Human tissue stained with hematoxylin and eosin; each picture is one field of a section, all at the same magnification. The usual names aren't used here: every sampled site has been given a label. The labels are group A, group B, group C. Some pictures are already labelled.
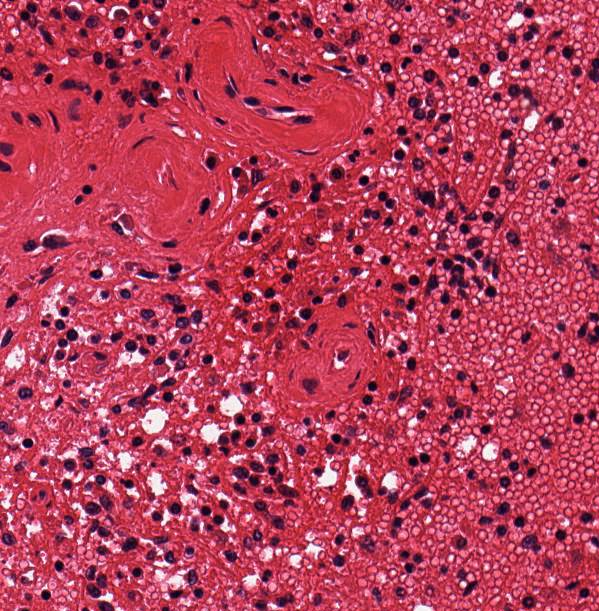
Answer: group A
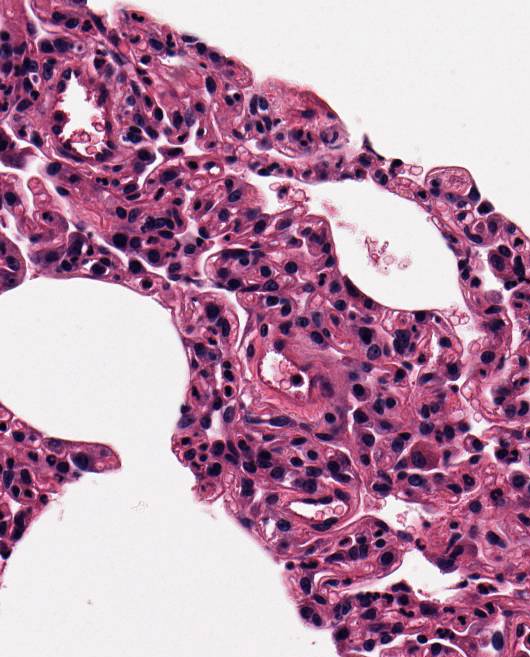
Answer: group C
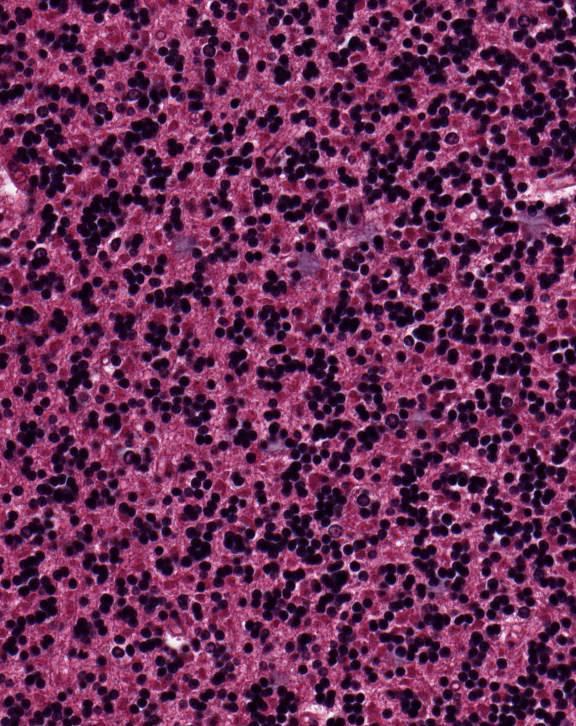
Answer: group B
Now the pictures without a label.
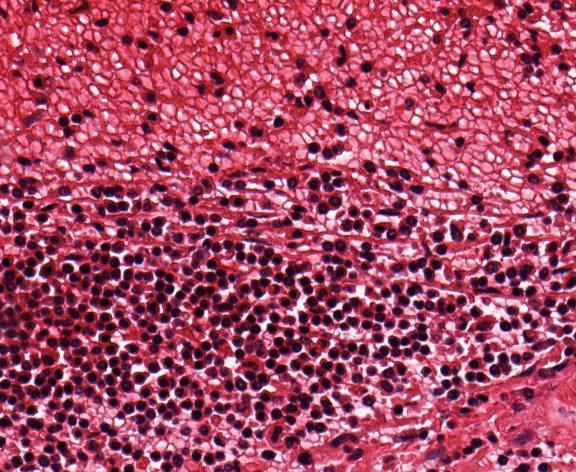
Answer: group A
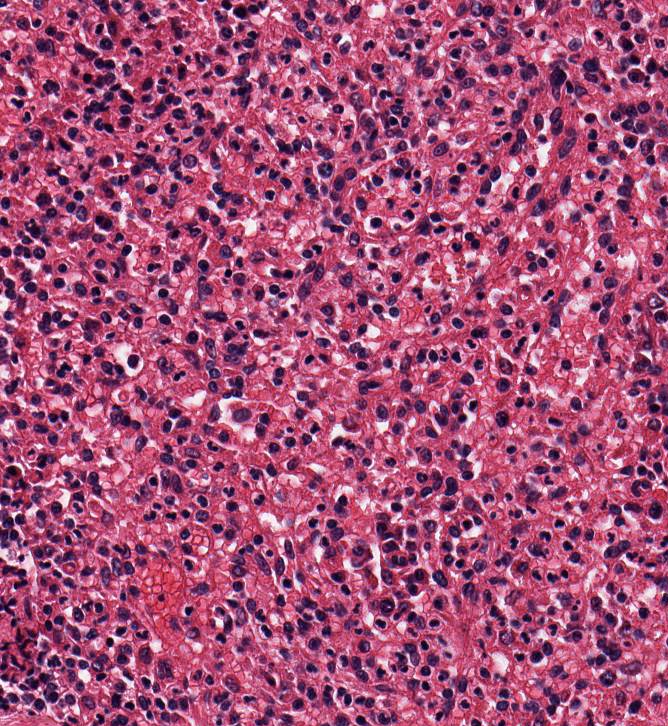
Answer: group A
